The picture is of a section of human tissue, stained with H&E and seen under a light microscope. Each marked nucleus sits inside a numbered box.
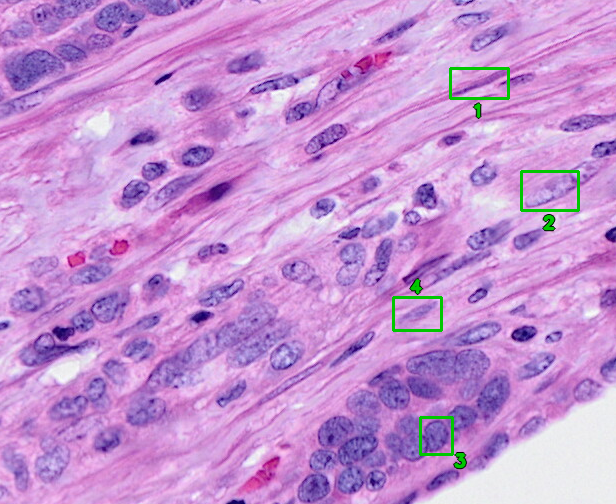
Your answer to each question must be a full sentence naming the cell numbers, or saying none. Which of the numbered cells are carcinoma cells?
The numbered cells include exactly one that is a carcinoma cell, which is cell 3.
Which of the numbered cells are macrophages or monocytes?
In this section, none of the numbered cells are macrophages or monocytes.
